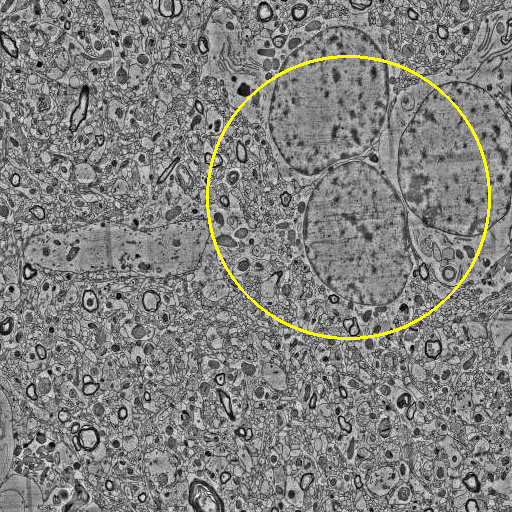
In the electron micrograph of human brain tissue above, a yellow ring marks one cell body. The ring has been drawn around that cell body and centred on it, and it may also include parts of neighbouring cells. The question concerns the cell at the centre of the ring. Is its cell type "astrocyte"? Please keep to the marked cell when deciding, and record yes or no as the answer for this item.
yes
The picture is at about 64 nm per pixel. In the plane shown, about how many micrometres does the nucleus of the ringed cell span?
In this plane, the nucleus is roughly 10 by 7 micrometres.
